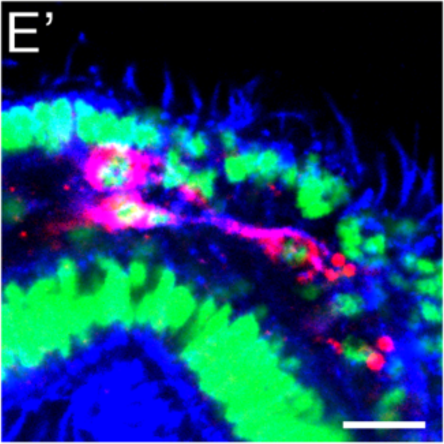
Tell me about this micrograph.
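The red cells are elongated and irregular, with thin extensions trailing along a narrow layer, much like fibroblasts. Above them lies an epithelium with green nuclei and blue cilia on its outer surface, and below them a thick layer of densely packed green nuclei. The red cells are sandwiched between these two cell layers rather than forming part of either.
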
